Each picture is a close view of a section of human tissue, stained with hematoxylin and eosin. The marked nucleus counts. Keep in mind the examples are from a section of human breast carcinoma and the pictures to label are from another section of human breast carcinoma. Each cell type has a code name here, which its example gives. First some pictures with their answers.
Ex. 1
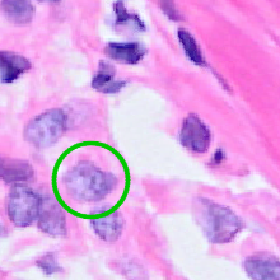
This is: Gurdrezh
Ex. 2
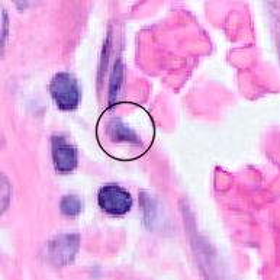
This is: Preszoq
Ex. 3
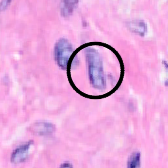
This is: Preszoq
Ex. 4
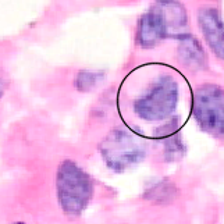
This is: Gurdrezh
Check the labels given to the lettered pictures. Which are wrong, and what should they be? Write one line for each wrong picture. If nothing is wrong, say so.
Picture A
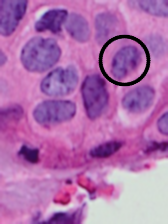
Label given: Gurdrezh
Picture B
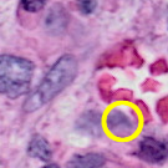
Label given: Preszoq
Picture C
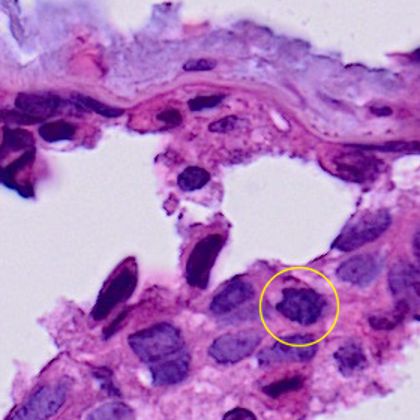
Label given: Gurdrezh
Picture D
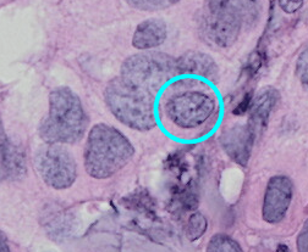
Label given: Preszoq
D: change Preszoq to Gurdrezh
